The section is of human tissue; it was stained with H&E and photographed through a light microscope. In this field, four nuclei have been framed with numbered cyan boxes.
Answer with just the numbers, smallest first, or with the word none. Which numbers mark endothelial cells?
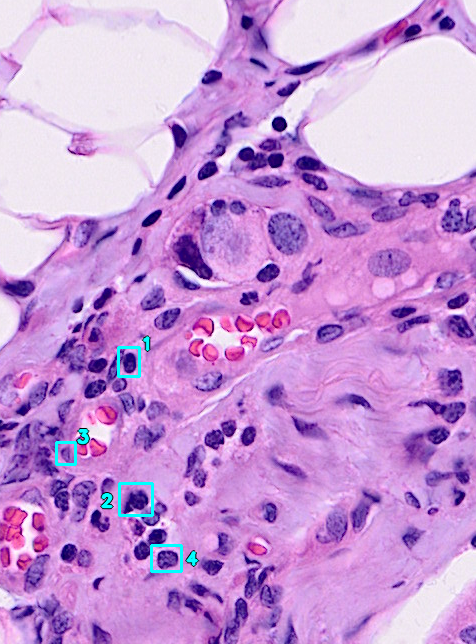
3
